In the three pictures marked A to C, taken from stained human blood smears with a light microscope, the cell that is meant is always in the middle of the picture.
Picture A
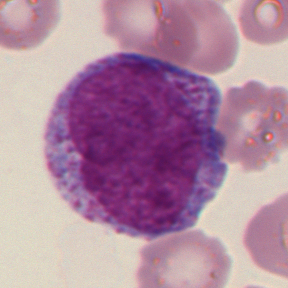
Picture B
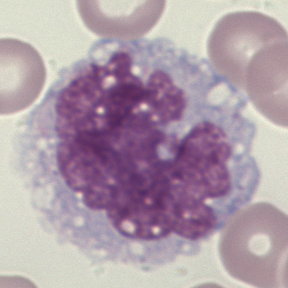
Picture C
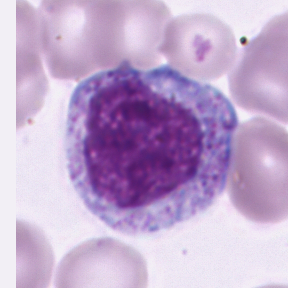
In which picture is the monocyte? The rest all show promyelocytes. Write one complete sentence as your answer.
The cell in picture B is the monocyte.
